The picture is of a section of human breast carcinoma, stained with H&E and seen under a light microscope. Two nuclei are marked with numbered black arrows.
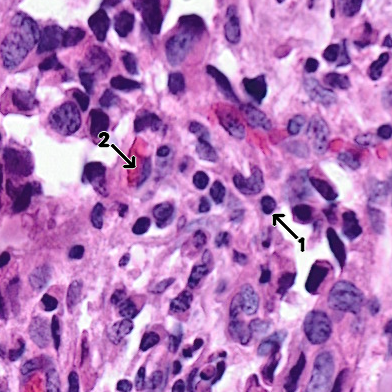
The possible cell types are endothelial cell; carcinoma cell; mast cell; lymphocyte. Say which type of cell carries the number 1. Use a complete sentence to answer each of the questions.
Heads up, the cell numbered 1 is a lymphocyte.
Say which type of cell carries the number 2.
Nucleus 2 in this section belongs to an endothelial cell.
